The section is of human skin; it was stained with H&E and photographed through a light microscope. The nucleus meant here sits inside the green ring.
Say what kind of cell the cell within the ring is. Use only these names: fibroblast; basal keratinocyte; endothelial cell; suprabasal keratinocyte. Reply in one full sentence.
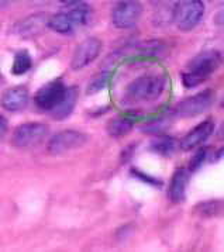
In this section of tissue, the cell within the ring is a basal keratinocyte.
